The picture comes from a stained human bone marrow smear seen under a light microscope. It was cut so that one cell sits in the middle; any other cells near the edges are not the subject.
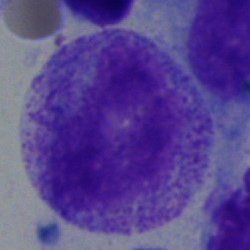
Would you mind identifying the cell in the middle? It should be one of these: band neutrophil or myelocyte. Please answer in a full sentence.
In short, the cell at the center is a myelocyte.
